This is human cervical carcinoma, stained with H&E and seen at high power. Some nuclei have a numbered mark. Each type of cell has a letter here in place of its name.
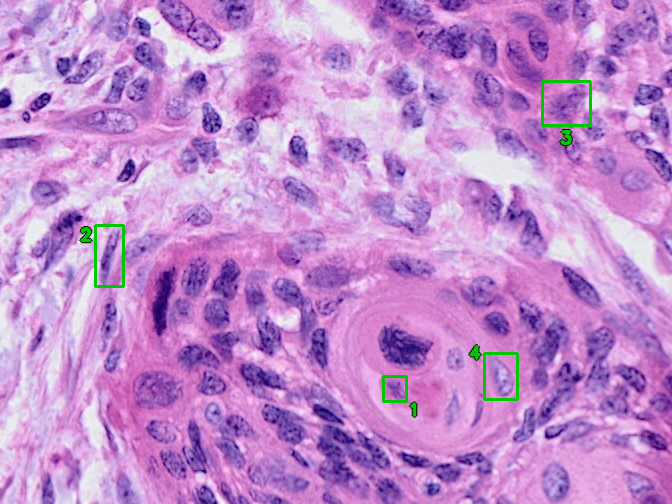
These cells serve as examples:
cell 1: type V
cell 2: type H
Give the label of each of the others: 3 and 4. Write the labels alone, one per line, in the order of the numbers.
type V
type V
